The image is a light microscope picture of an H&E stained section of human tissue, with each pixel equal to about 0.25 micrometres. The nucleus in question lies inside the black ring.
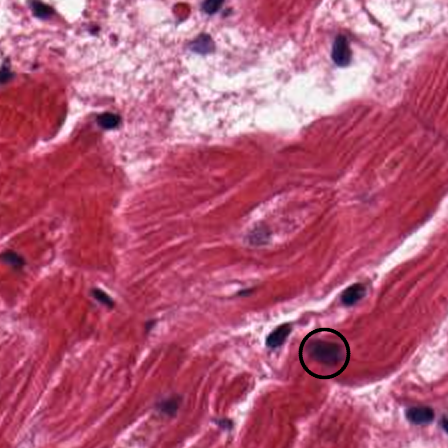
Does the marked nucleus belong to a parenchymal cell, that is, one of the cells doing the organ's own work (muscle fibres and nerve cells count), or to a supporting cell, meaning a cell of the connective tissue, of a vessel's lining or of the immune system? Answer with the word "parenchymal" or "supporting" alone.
parenchymal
